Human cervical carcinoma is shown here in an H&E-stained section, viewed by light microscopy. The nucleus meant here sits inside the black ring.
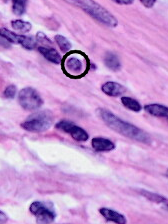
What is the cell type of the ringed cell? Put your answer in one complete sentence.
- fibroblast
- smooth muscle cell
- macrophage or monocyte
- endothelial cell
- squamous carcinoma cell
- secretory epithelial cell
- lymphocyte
It is a lymphocyte that the ringed cell represents.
